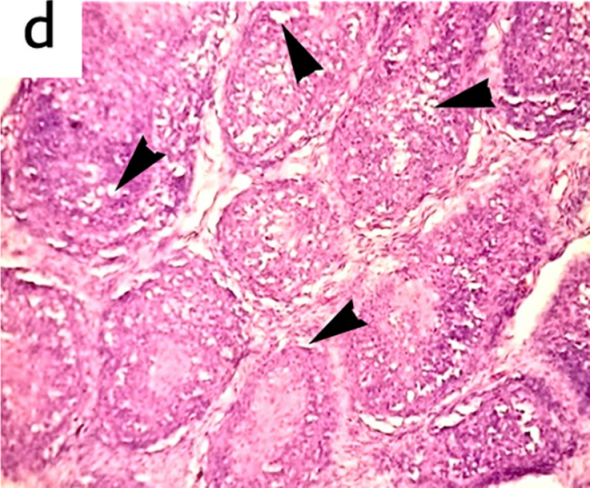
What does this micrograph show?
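Here the bursa of Fabricius shows many closely packed lymphoid follicles, rounded lobules filled with small purple-staining cells and separated by thin pale septa. Within the lobules, many small clear empty spaces are scattered among the cells, giving a moth-eaten, vacuolated appearance; this is vacuolar degeneration. The distinction between darker rim and paler centre is blurred compared with a normal follicle, and the cell population looks uneven.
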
